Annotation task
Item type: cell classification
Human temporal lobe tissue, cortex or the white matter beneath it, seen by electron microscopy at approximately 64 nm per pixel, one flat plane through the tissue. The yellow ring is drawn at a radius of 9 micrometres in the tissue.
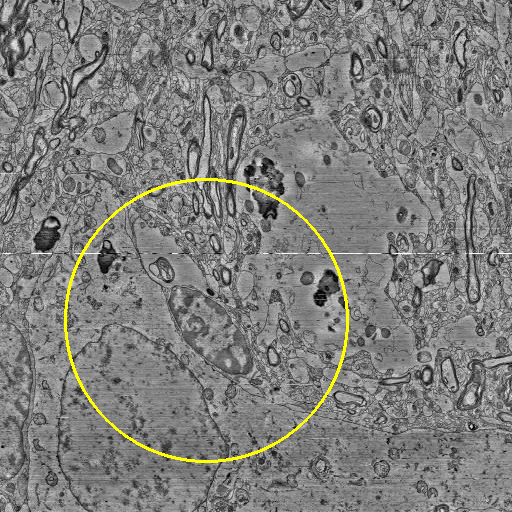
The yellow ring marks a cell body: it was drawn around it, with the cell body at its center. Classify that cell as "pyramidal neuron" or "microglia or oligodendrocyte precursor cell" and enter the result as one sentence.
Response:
The ring's center falls on a microglial cell or oligodendrocyte precursor cell.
